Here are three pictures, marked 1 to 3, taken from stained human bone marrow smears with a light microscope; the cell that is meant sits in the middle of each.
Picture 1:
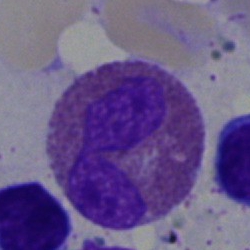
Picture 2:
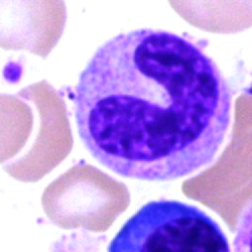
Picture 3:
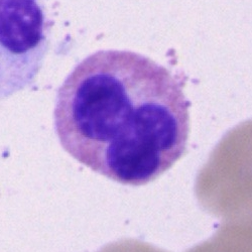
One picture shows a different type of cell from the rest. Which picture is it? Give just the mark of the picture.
2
